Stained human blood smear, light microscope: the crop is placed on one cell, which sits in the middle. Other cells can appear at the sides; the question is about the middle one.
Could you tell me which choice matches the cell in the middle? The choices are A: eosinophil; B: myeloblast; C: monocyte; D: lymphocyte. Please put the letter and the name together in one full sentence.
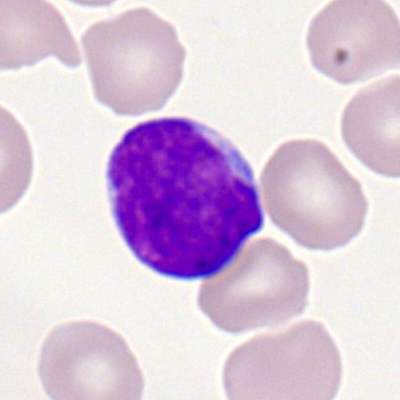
In this crop the middle cell is a myeloblast, so option B is the correct answer.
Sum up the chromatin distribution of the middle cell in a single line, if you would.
The chromatin within its nucleus forms coarse clumps.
